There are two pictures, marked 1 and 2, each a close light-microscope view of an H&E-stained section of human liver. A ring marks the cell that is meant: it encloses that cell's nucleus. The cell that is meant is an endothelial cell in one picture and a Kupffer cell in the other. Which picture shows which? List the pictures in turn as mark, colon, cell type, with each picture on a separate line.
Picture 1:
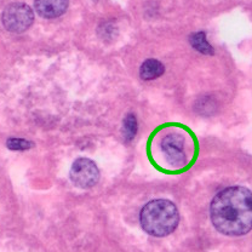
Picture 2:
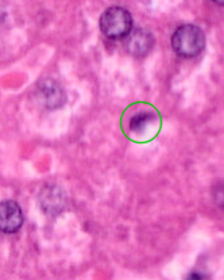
1: Kupffer cell
2: endothelial cell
